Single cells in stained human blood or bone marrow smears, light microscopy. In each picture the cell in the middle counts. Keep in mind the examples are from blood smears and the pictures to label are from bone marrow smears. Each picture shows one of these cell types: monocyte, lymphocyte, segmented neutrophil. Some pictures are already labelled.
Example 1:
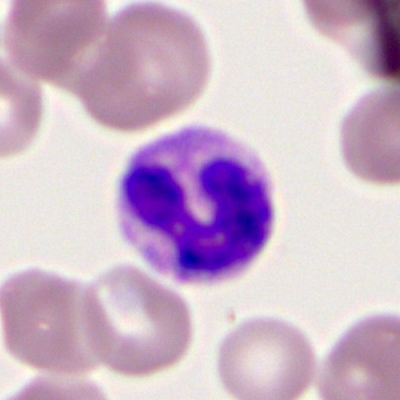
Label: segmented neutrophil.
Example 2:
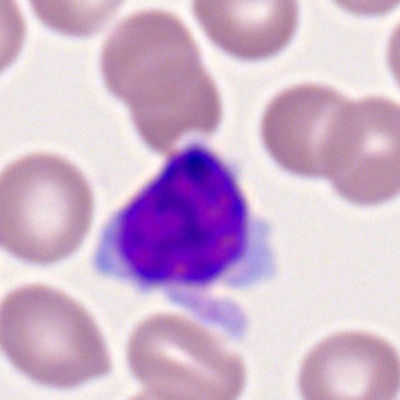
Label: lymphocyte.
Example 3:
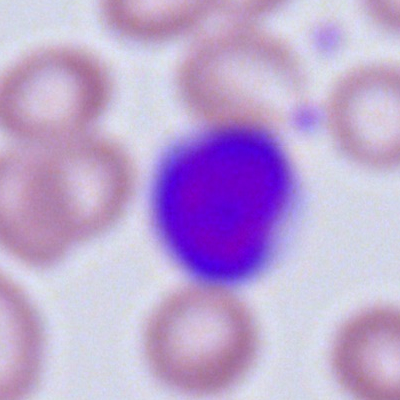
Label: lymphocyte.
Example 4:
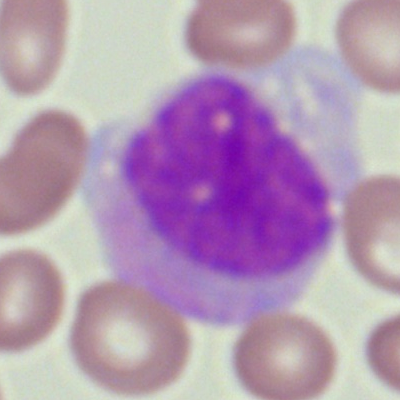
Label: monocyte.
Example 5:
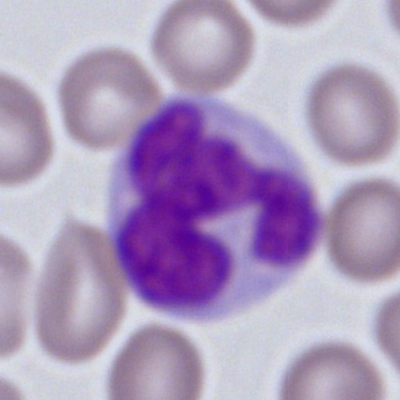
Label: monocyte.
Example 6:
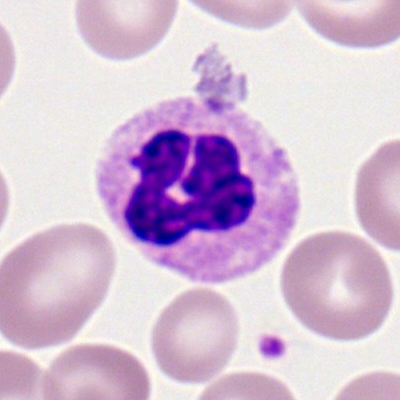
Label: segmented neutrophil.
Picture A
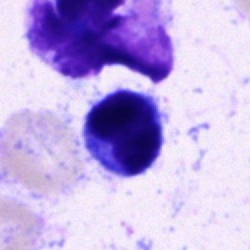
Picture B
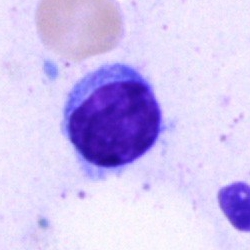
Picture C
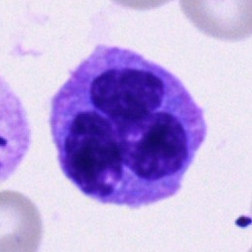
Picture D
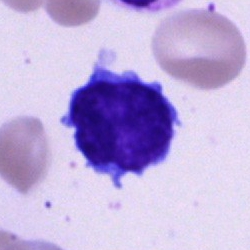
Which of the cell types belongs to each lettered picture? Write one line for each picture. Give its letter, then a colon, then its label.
A: lymphocyte.
B: lymphocyte.
C: monocyte.
D: lymphocyte.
